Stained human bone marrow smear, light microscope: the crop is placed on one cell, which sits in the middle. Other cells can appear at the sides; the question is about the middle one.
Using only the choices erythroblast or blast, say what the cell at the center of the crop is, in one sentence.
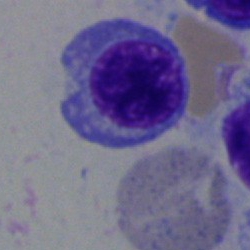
At the center of the crop sits an erythroblast.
